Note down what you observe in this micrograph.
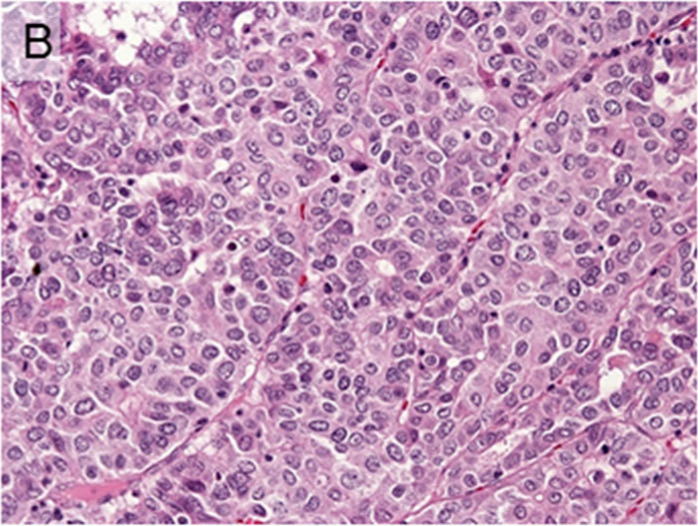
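Sheets and cords of closely packed tumor cells with pink cytoplasm and round to oval nuclei with nucleoli are divided by delicate thin-walled vessels, with occasional small lumen-like spaces. The tumor cells form trabecular or pseudoglandular architectures.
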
